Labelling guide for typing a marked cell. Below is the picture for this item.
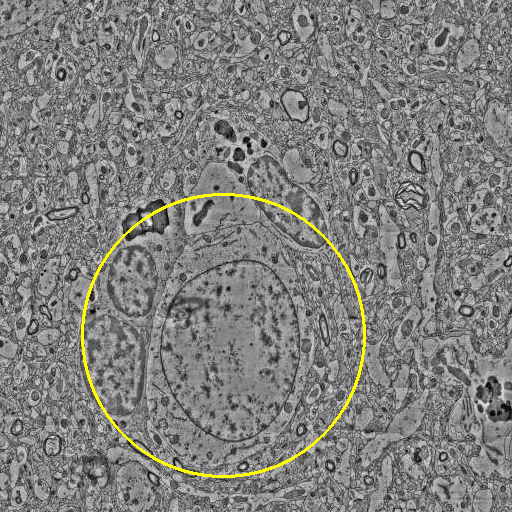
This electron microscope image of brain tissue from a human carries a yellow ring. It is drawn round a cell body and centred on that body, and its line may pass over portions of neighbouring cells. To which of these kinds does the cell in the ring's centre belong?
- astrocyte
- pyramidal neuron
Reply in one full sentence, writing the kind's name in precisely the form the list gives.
Here we have a pyramidal neuron at the centre of the yellow ring in the picture.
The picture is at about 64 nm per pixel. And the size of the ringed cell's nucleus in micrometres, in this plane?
The nucleus appears roughly 12 by 9 micrometres in this plane.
